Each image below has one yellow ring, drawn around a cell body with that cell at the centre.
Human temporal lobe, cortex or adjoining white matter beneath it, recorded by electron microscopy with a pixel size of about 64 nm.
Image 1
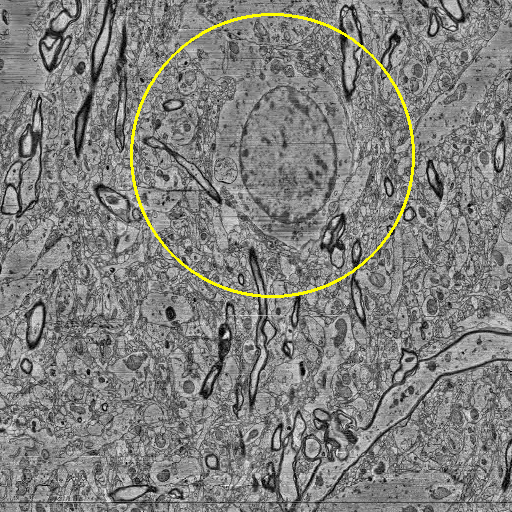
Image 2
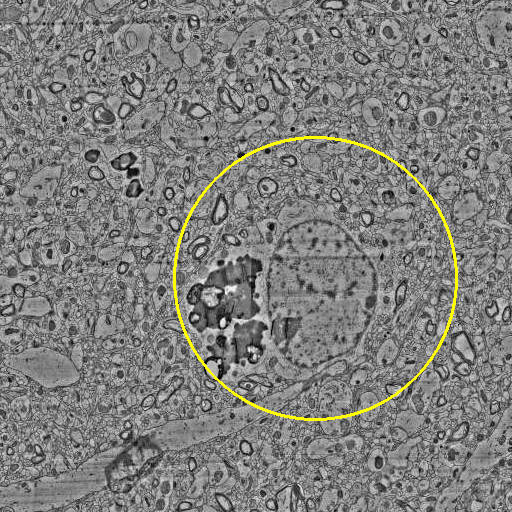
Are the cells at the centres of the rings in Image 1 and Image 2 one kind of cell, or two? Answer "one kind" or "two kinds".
one kind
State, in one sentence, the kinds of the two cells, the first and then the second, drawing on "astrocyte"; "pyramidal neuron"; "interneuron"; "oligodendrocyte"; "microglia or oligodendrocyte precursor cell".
The second cell is an astrocyte, just as the first is.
